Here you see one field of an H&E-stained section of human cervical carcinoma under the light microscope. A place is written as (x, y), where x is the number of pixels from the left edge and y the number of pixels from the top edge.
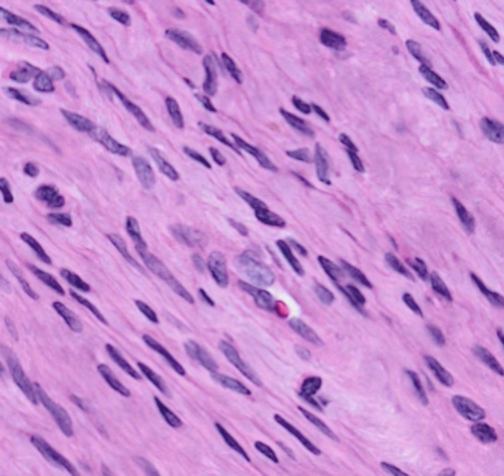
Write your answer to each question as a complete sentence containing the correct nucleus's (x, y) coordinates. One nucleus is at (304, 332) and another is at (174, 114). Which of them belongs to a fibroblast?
Among the two nuclei, the one lying at (174, 114) is part of a fibroblast.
